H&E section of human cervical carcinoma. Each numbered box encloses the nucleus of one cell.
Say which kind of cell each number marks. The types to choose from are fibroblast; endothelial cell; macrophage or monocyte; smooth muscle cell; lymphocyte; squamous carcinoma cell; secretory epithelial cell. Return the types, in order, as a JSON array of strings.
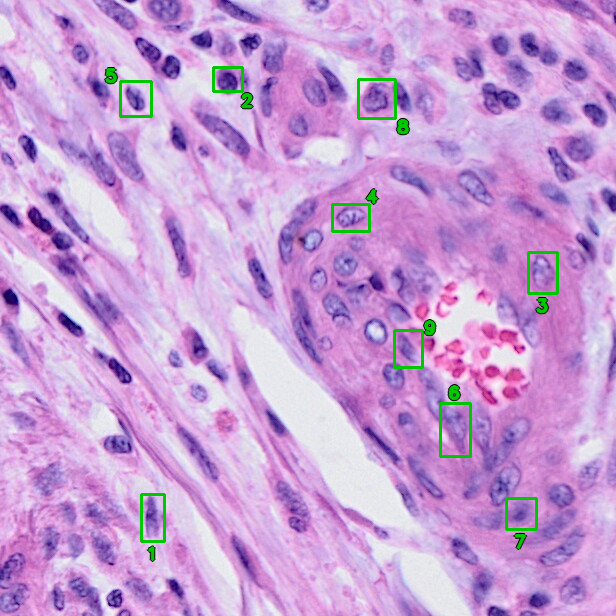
["fibroblast", "lymphocyte", "smooth muscle cell", "smooth muscle cell", "lymphocyte", "endothelial cell", "smooth muscle cell", "macrophage or monocyte", "endothelial cell"]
